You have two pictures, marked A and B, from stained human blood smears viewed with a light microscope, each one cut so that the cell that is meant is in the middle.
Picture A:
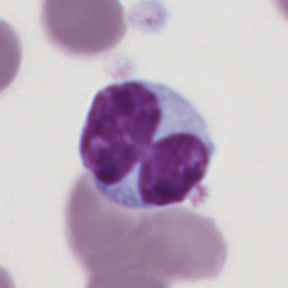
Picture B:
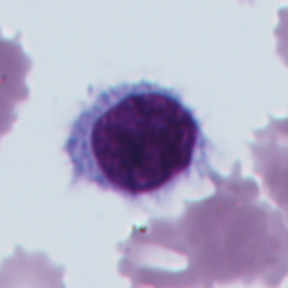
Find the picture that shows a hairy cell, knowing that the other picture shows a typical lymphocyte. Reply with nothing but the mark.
B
